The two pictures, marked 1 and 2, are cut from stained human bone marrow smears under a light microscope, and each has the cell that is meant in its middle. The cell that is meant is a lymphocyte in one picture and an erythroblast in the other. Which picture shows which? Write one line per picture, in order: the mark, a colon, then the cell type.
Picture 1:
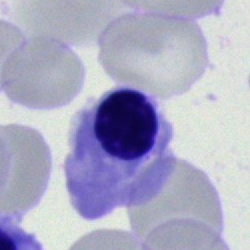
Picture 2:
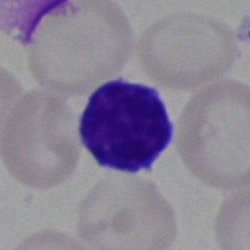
1: erythroblast
2: lymphocyte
